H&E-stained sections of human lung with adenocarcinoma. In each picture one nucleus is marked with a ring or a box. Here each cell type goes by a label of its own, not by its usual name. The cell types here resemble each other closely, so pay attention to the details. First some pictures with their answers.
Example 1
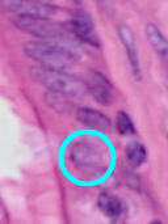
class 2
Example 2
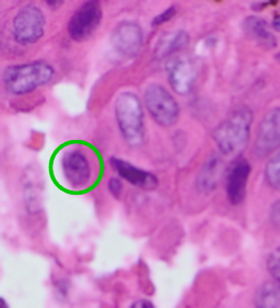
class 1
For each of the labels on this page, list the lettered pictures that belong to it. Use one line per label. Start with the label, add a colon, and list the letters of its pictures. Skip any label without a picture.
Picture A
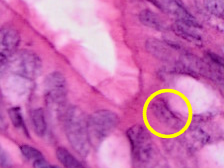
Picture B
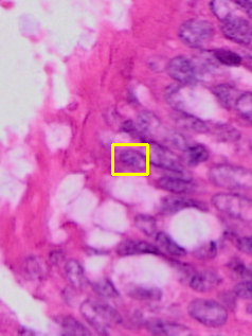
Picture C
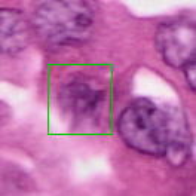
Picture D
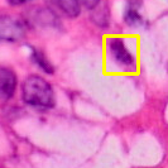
class 2: A, B, D
class 1: C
